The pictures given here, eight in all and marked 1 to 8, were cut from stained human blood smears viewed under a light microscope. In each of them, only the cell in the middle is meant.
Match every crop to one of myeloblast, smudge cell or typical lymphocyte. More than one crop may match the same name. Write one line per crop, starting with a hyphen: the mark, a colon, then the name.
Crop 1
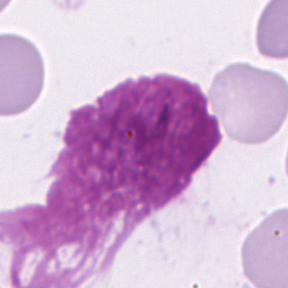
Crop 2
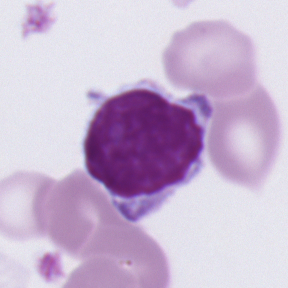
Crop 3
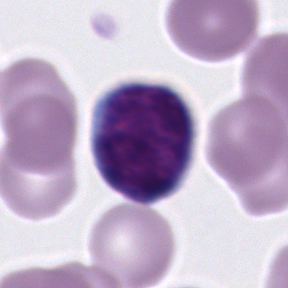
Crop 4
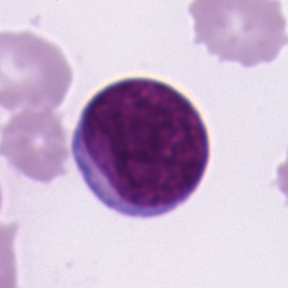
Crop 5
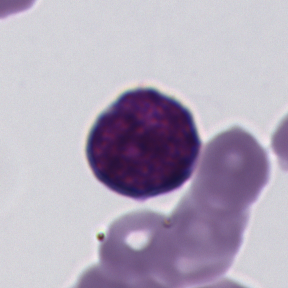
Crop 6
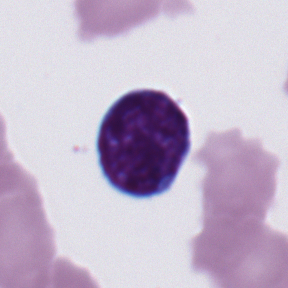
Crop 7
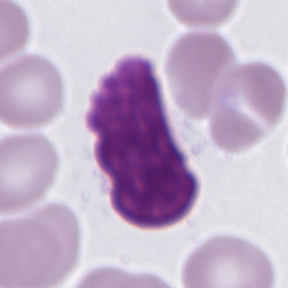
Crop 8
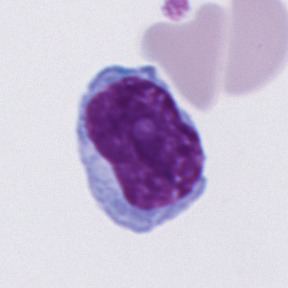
- 1: smudge cell
- 2: typical lymphocyte
- 3: typical lymphocyte
- 4: myeloblast
- 5: myeloblast
- 6: typical lymphocyte
- 7: smudge cell
- 8: typical lymphocyte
